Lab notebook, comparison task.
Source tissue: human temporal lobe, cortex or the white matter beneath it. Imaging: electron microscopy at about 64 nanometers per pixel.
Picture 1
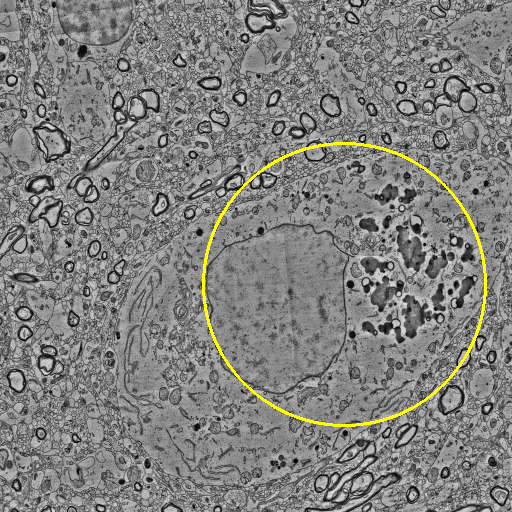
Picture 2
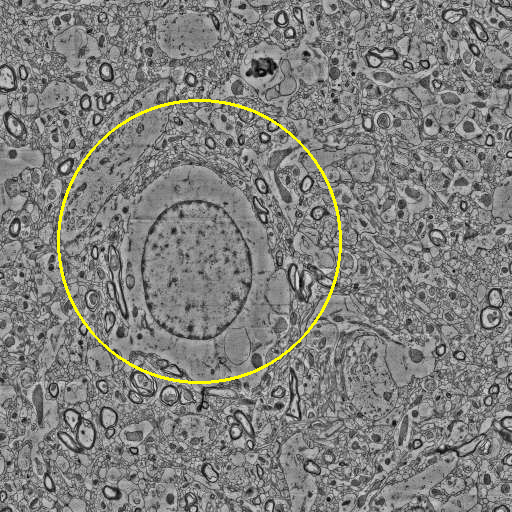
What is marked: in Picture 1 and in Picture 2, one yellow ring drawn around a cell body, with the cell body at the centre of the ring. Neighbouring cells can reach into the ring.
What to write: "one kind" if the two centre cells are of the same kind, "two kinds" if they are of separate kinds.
two kinds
